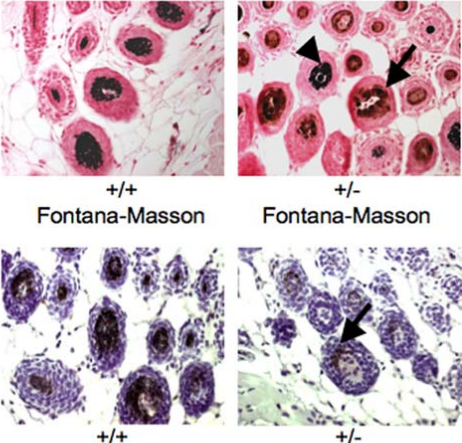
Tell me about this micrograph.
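Many round cross-sections of hair follicles lie in the skin, each a ring of concentric epithelial cell layers around a central core, set in loose pale connective tissue. In the upper images the follicle walls stain pink-red, and the cores of the left-hand follicles are packed with dense black pigment, while most right-hand follicles hold lighter brownish pigment and one shows a small pale hair shaft. In the lower images the follicle cells show many purple nuclei arranged in rings, again with dark pigment at the centre. The dense black material in some follicles points to heavy accumulation of pigment granules in the hair bulb.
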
